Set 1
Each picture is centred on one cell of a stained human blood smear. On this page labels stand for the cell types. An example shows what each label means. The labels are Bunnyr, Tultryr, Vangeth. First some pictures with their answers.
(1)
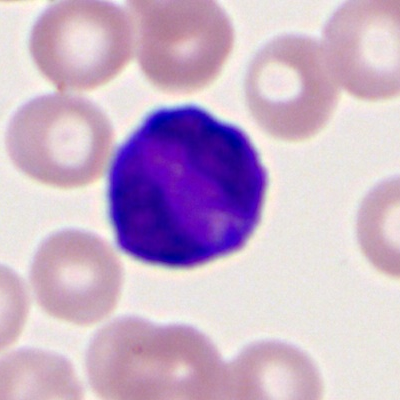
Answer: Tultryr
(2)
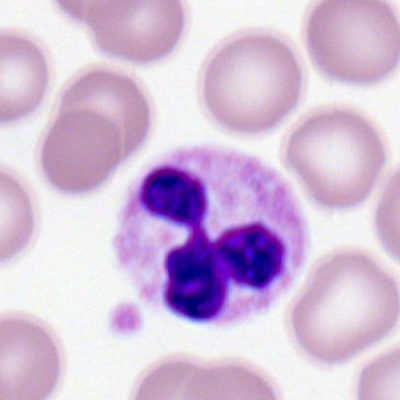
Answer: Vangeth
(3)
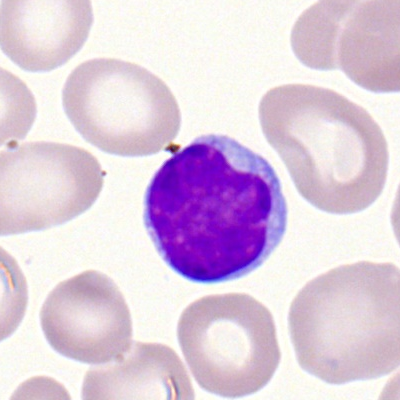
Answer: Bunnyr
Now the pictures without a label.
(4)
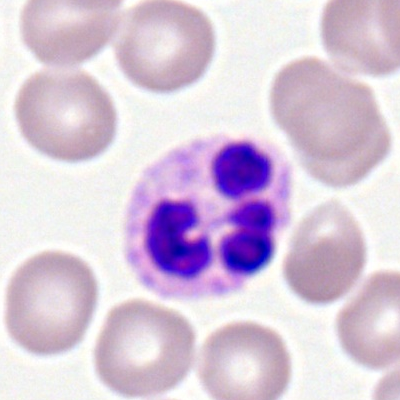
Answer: Vangeth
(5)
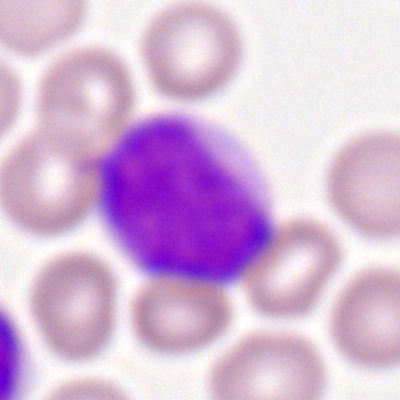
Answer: Tultryr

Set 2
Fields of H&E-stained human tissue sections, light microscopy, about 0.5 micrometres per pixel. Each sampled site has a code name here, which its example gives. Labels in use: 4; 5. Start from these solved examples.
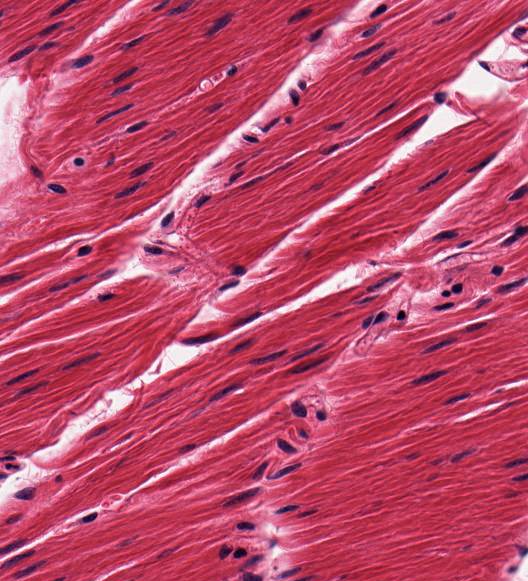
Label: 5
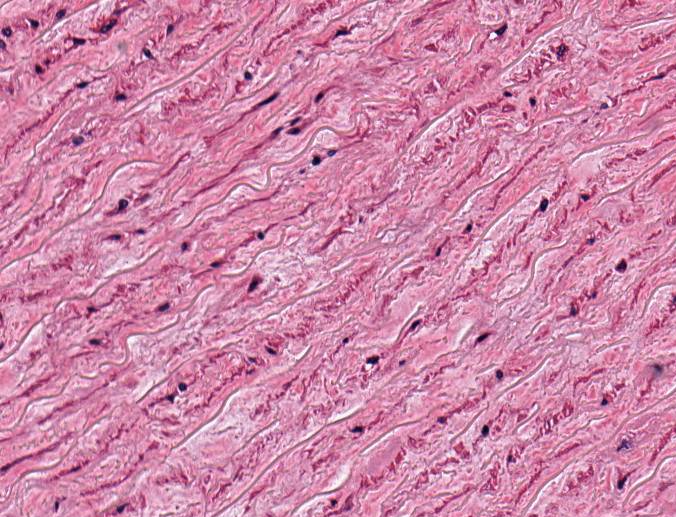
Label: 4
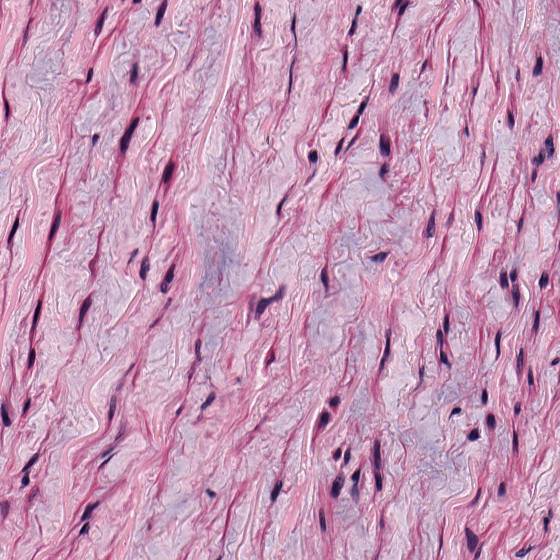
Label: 4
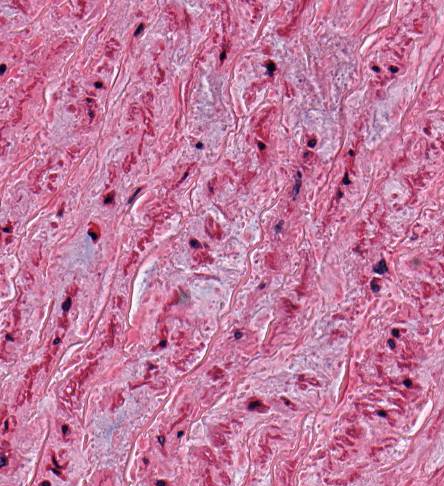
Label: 4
